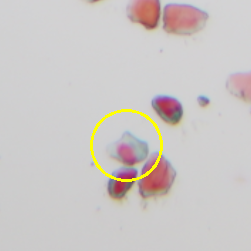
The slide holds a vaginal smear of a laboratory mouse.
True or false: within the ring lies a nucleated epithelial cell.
True: a nucleated epithelial cell lies within the ring.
